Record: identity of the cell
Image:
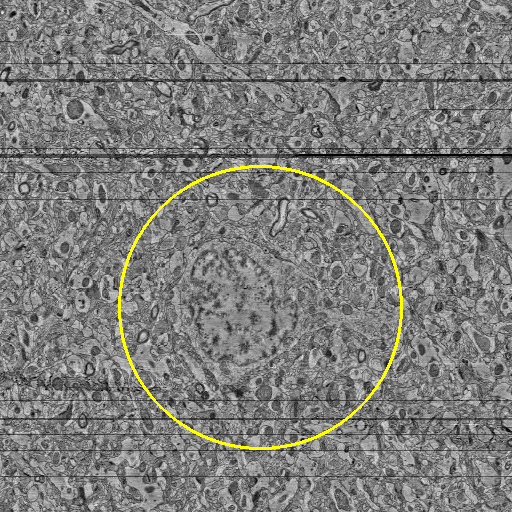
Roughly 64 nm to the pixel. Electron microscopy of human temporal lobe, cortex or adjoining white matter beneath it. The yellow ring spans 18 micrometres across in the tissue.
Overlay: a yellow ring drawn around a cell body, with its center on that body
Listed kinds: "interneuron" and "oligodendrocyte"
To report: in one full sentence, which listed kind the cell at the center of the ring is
In the image, the cell body at the ring's center belongs to an interneuron.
